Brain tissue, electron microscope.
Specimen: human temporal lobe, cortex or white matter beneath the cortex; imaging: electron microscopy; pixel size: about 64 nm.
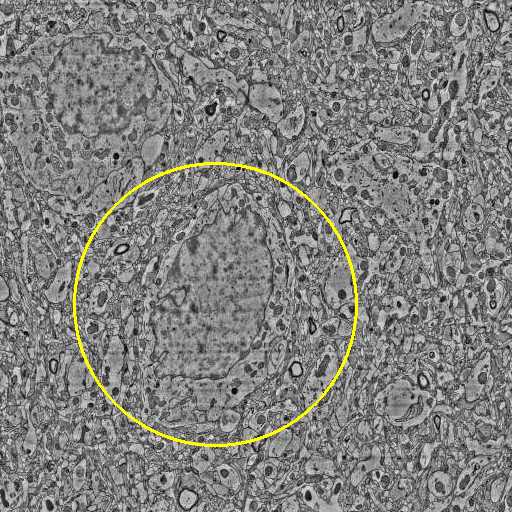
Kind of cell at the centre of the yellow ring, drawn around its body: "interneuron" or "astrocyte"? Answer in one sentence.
The ring's centre falls on an interneuron.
